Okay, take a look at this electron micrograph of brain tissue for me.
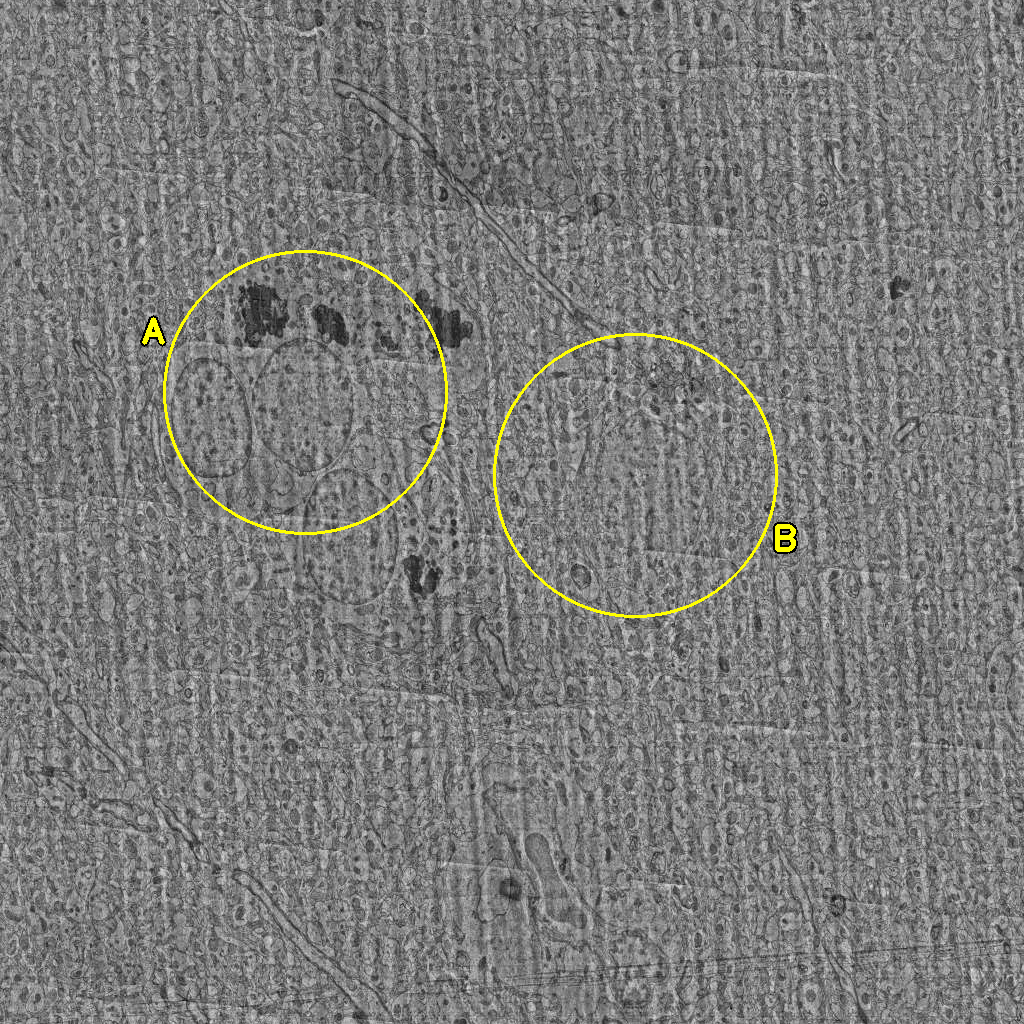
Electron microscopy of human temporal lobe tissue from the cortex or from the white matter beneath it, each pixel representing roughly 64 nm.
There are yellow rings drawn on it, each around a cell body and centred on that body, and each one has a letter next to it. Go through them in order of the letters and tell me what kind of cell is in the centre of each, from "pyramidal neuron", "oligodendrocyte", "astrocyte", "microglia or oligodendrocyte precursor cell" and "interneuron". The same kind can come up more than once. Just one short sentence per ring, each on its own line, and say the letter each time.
In the centre of ring A there's an astrocyte.
In the centre of ring B there's an interneuron.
